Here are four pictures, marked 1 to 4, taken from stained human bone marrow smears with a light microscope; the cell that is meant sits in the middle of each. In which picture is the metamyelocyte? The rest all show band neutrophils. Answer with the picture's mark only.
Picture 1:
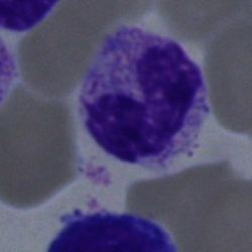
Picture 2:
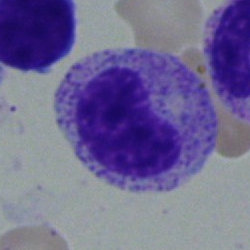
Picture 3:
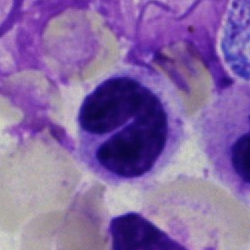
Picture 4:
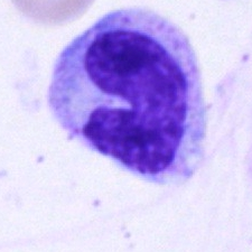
2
